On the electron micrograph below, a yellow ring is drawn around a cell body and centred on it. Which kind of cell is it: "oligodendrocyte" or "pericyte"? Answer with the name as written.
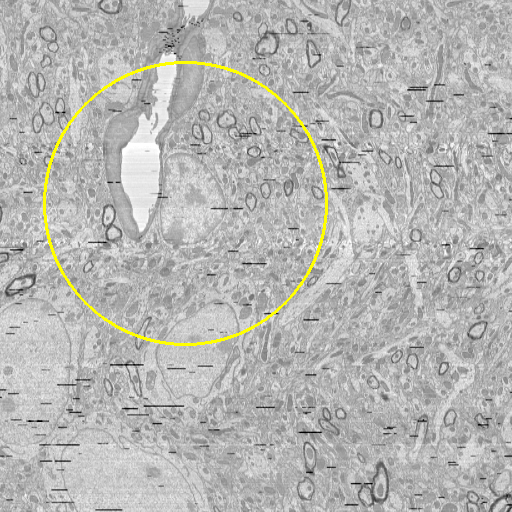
oligodendrocyte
